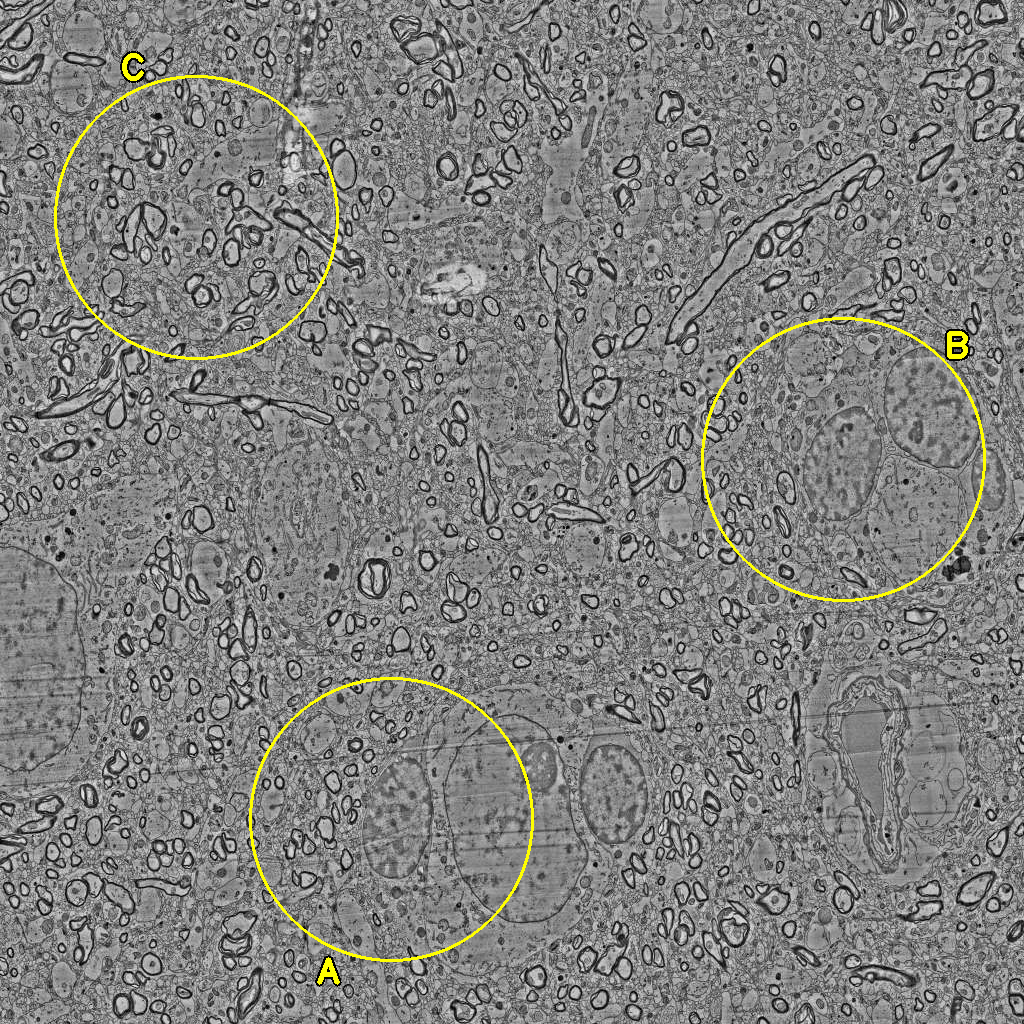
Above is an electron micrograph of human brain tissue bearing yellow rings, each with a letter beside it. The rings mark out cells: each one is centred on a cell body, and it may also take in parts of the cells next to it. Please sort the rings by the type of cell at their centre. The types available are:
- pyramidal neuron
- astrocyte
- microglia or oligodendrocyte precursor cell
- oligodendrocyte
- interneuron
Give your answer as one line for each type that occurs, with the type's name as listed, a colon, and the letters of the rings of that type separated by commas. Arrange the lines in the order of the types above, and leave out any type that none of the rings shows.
microglia or oligodendrocyte precursor cell: C
oligodendrocyte: A, B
